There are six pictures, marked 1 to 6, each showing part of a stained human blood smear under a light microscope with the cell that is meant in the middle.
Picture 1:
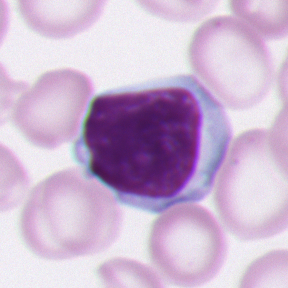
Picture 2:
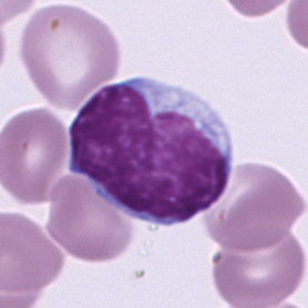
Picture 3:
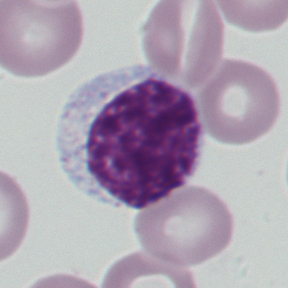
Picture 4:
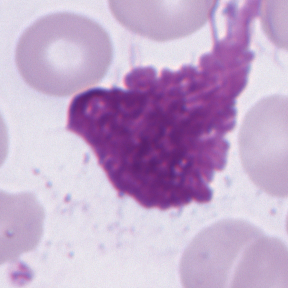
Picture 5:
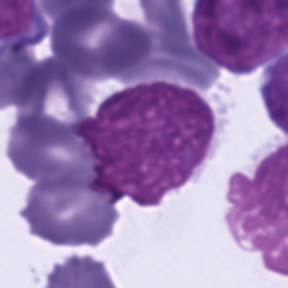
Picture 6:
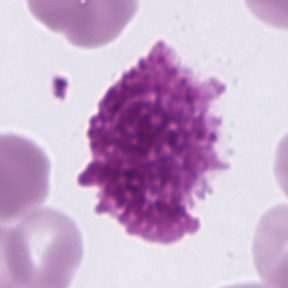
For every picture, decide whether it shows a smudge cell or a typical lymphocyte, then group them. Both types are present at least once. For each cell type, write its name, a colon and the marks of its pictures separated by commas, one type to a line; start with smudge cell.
smudge cell: 4, 5, 6
typical lymphocyte: 1, 2, 3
